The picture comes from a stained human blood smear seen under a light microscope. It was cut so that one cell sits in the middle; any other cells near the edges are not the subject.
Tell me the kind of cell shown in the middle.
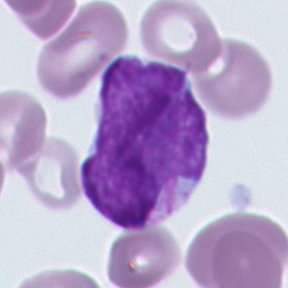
atypical promyelocyte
